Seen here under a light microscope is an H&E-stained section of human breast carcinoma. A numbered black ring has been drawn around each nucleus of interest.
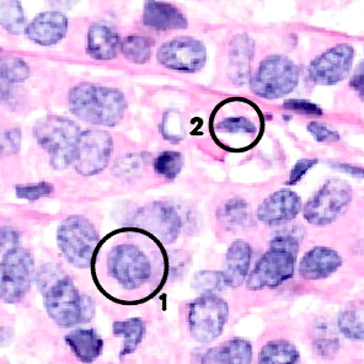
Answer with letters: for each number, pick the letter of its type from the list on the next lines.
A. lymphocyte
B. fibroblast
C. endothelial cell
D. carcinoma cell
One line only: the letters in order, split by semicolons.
D; C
